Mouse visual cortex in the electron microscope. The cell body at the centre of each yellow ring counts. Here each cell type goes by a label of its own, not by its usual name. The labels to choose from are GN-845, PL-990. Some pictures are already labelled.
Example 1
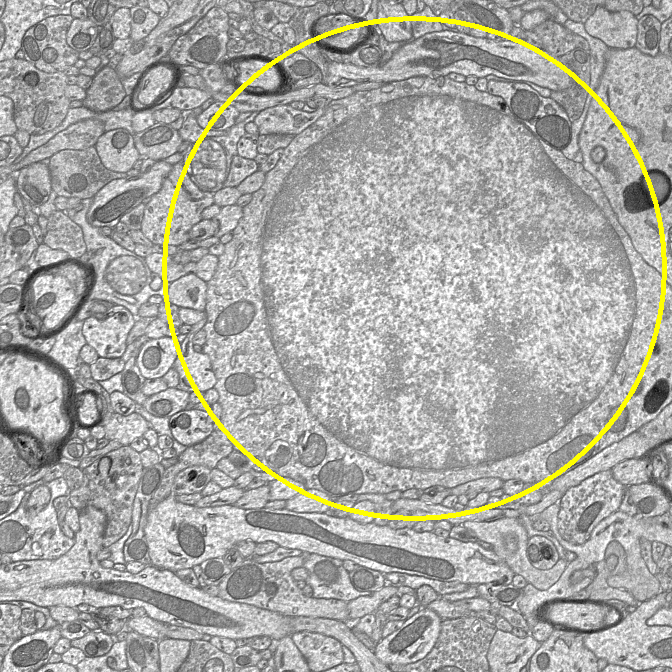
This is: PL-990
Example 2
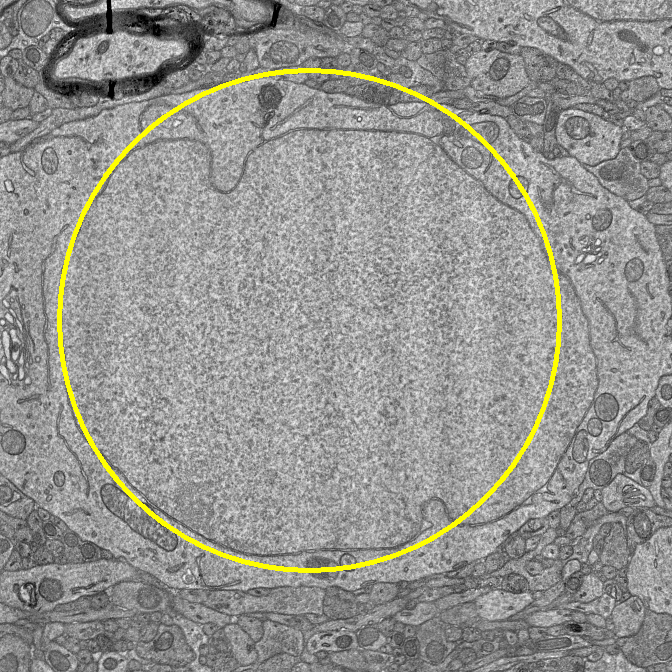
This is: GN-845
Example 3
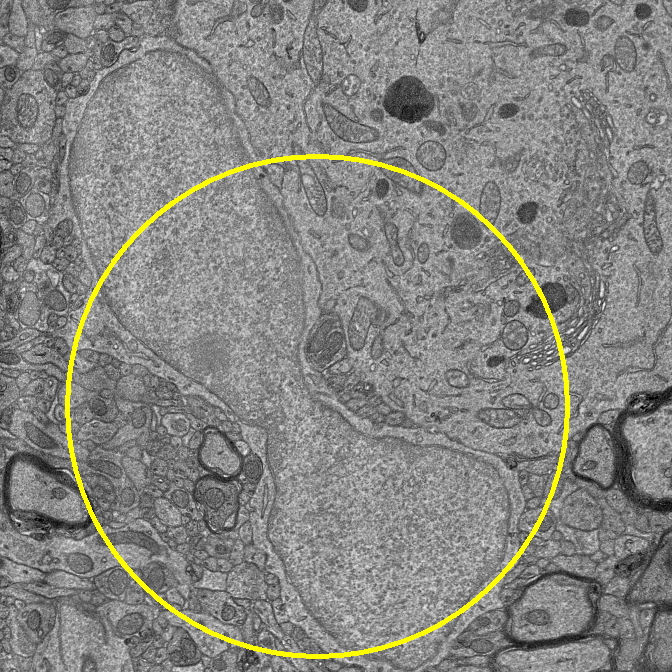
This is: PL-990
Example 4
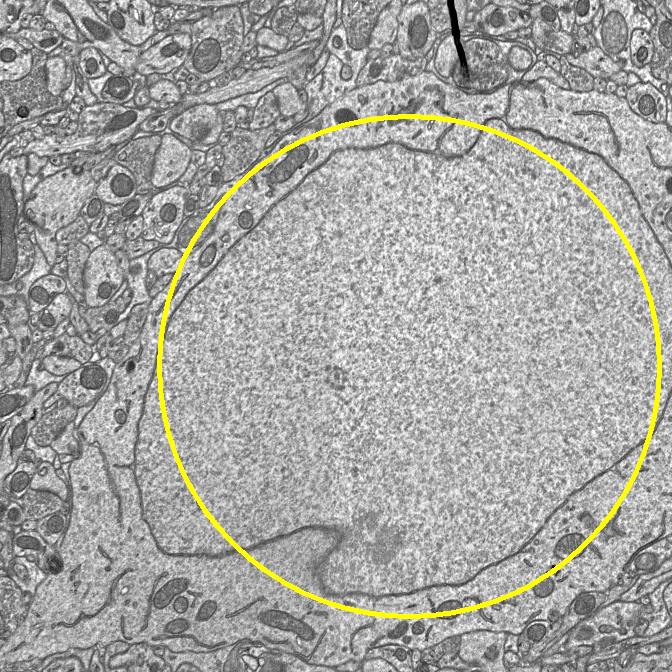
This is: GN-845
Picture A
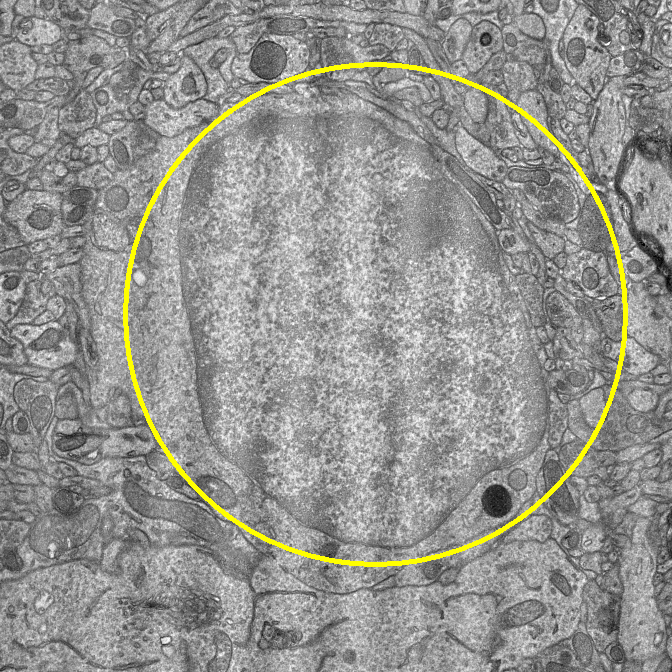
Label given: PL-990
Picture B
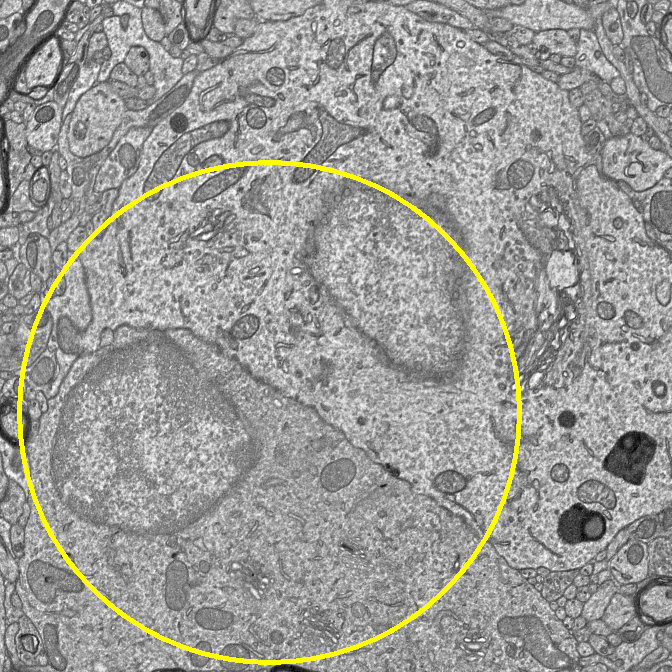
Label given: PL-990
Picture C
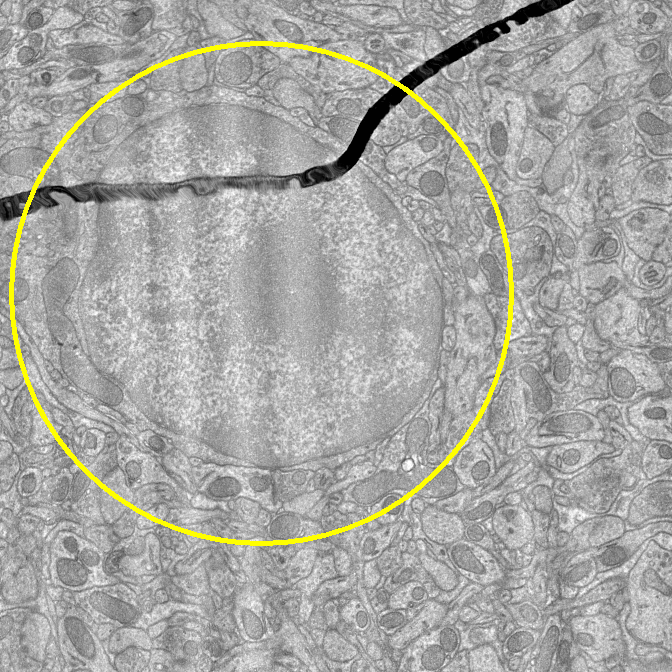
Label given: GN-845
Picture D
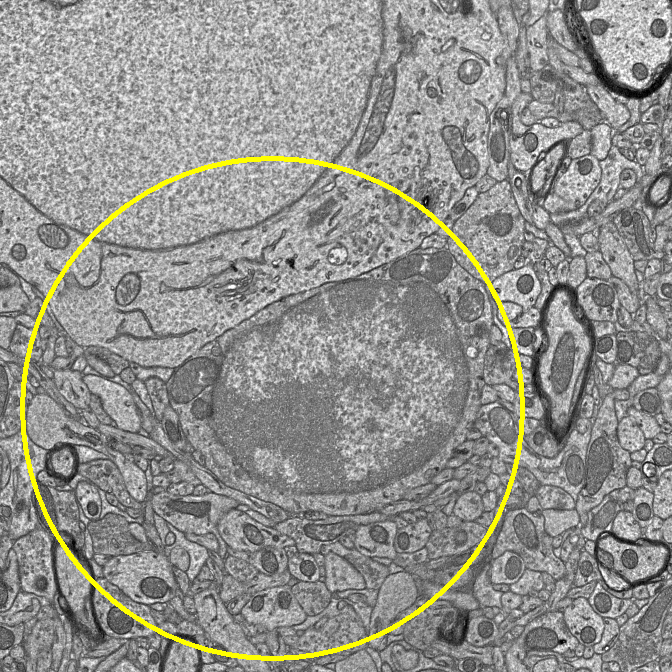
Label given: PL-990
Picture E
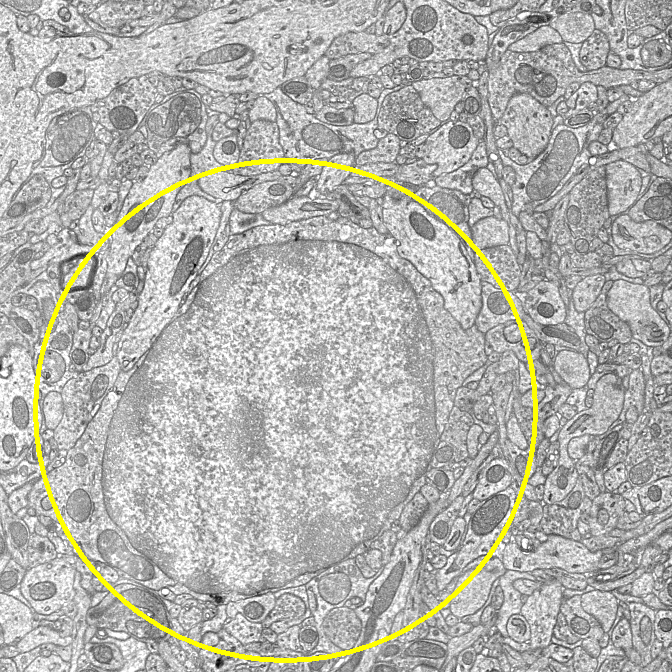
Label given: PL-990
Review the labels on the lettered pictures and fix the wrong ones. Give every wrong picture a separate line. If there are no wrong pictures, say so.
C: not GN-845 but PL-990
